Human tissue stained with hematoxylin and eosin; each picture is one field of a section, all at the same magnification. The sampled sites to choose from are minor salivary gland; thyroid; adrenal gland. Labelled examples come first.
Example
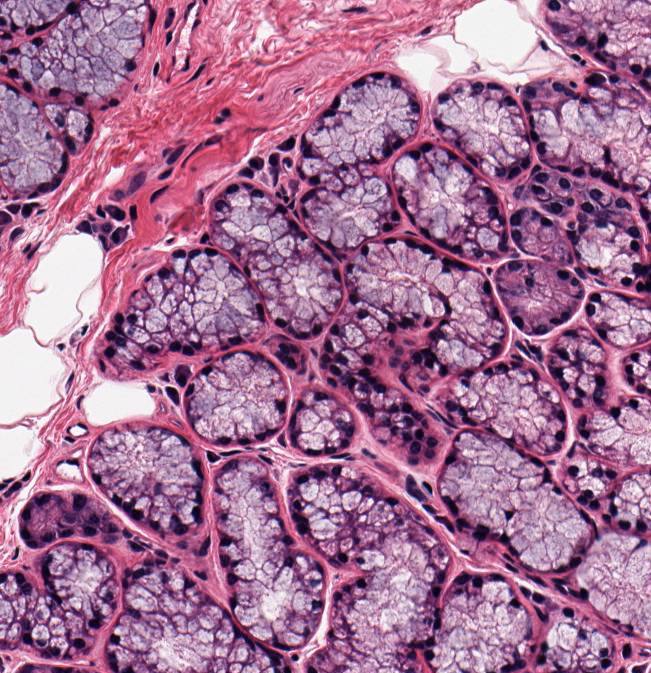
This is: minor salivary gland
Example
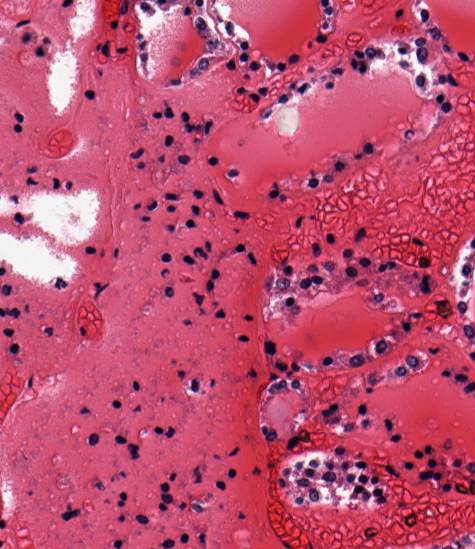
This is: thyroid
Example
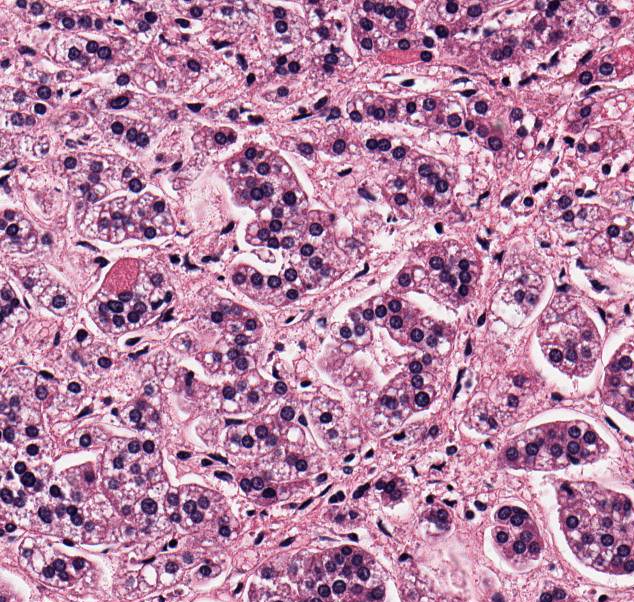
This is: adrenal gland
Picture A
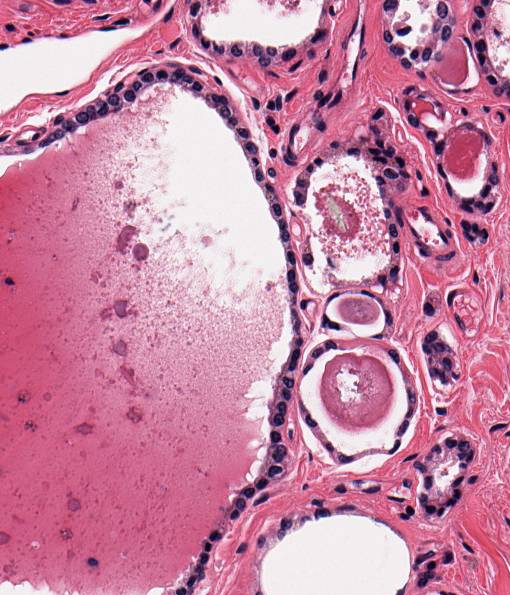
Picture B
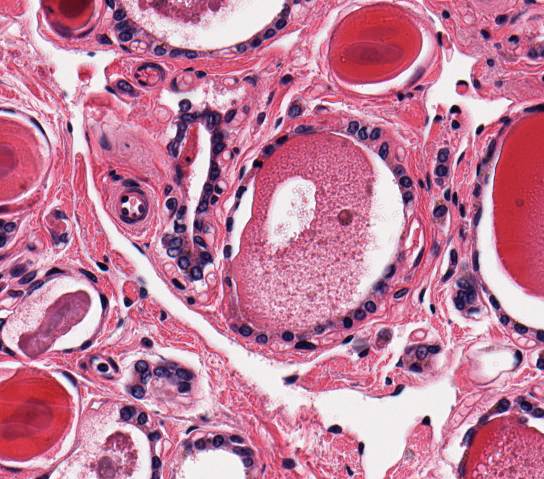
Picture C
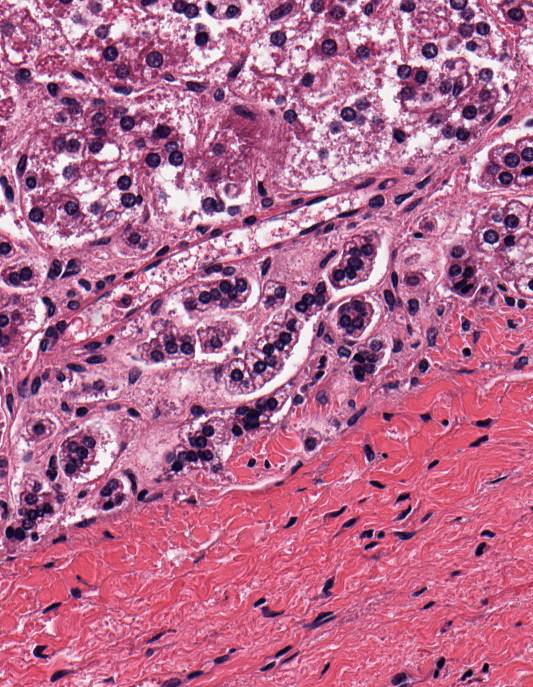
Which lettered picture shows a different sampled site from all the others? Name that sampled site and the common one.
C differs and shows adrenal gland; the others show thyroid.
